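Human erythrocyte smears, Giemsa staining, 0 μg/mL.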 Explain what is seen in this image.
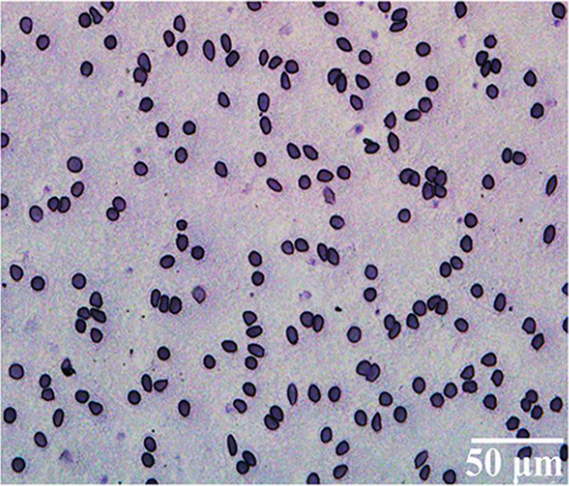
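The cells are small, uniform ovals without nuclei, each stained evenly dark purple with smooth outlines. They lie mostly singly or in small touching groups, scattered over a clean, pale lilac background with almost no debris.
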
